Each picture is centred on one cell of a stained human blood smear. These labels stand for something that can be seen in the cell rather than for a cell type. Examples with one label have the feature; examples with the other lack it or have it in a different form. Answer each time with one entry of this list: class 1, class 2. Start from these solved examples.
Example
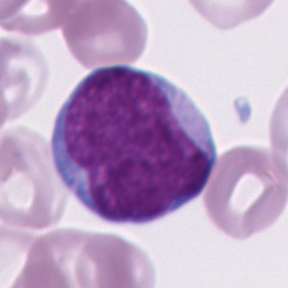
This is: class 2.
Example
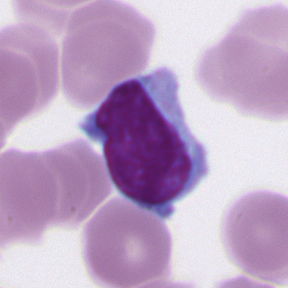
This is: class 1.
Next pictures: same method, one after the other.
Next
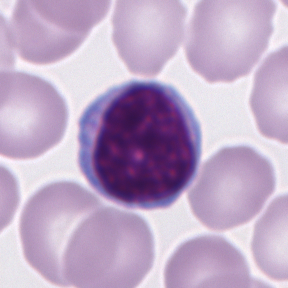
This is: class 2.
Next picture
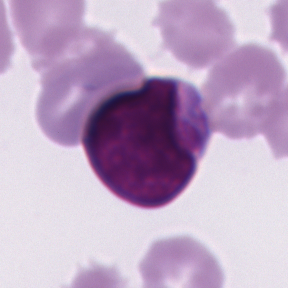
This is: class 2.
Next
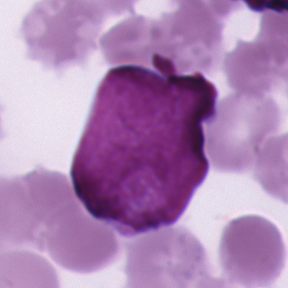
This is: class 1.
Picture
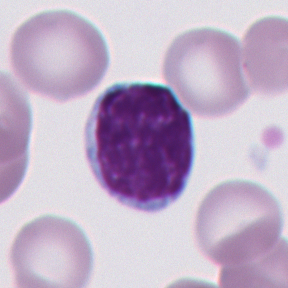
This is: class 2.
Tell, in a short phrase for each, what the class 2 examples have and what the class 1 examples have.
In class 2: smooth outline. In class 1: ragged outline or projections.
